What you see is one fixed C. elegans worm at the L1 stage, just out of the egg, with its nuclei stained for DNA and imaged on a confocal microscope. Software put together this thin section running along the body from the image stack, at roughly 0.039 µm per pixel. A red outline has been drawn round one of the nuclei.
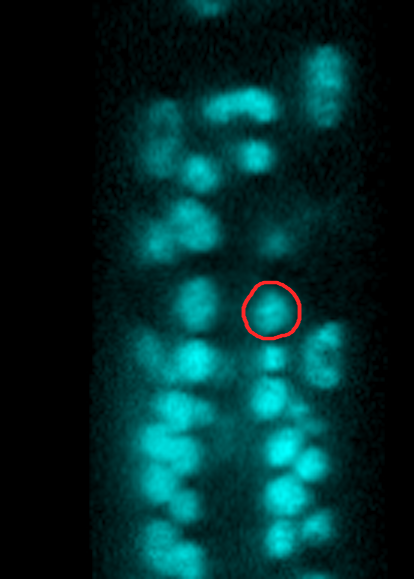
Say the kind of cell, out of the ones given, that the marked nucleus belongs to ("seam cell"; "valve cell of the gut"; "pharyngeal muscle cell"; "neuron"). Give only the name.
pharyngeal muscle cell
